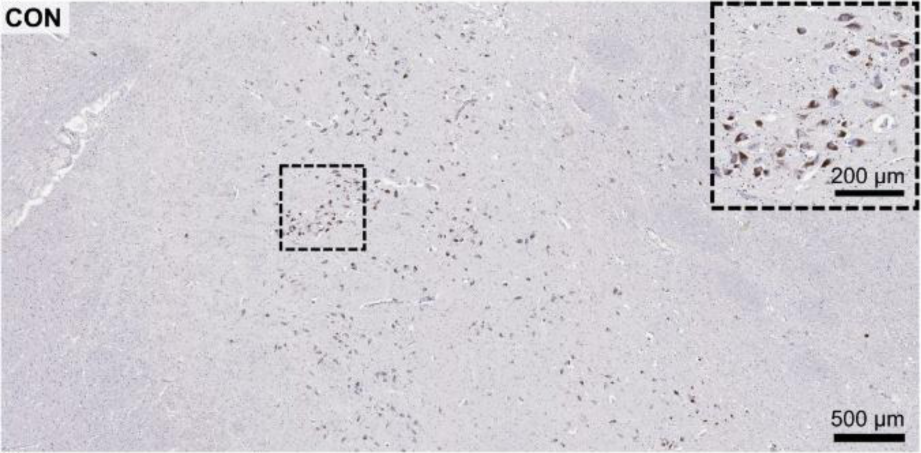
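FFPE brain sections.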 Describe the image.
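This low-power view of the substantia nigra shows pale bluish-grey tissue in which many small dark neuronal cell bodies are scattered and gathered into loose bands and clusters. The neurons lie close together, in places almost touching. Pale streaks and small vessel profiles cross the tissue between the cell groups.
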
